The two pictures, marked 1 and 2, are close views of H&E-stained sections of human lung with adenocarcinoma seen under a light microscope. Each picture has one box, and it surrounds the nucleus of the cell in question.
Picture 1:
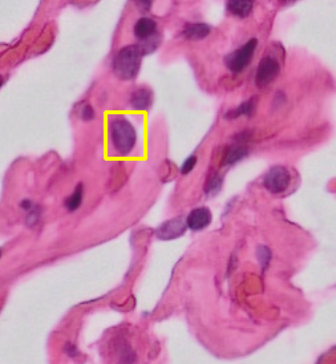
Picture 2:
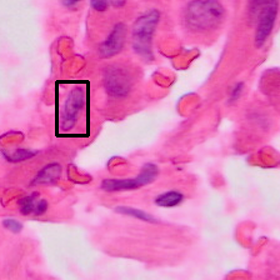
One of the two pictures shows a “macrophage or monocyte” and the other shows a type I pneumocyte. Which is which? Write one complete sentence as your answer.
Picture 1 shows a type I pneumocyte and picture 2 shows a “macrophage or monocyte”.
